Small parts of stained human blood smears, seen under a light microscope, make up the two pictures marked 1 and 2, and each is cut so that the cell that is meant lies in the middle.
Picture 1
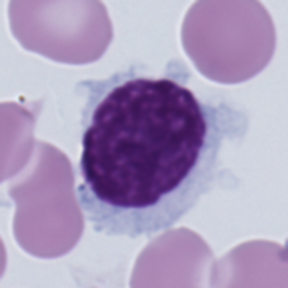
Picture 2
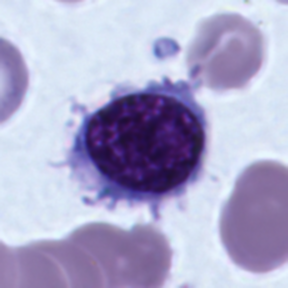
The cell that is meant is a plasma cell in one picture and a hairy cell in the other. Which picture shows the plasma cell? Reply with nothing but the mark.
2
